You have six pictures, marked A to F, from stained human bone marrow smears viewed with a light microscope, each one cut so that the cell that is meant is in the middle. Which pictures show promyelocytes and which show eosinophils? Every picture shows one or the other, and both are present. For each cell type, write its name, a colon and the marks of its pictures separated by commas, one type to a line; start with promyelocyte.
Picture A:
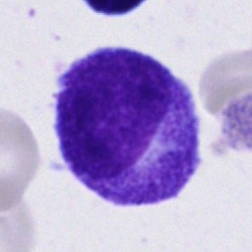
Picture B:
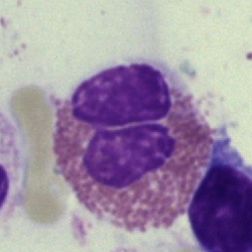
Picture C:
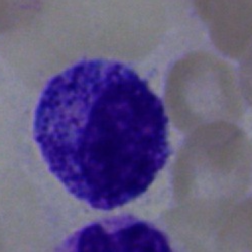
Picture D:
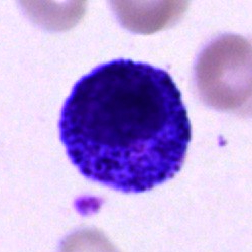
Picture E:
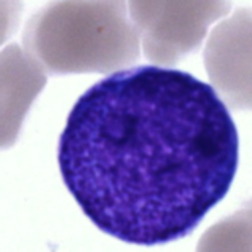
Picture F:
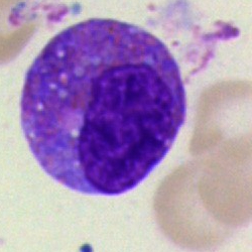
promyelocyte: A, C, D, E
eosinophil: B, F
